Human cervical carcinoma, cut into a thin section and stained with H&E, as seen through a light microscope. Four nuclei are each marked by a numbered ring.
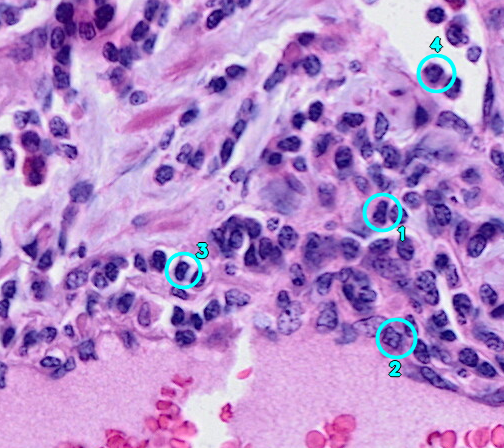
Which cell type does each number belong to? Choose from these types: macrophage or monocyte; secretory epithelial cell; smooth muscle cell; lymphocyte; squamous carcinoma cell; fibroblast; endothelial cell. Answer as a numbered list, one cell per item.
1. lymphocyte
2. endothelial cell
3. lymphocyte
4. lymphocyte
